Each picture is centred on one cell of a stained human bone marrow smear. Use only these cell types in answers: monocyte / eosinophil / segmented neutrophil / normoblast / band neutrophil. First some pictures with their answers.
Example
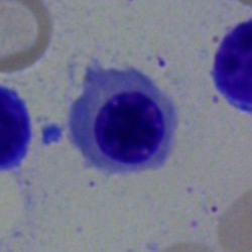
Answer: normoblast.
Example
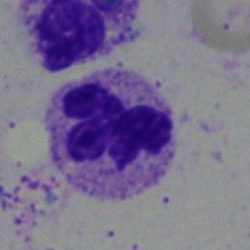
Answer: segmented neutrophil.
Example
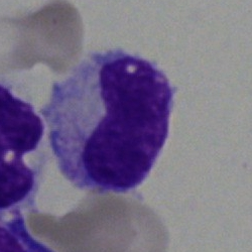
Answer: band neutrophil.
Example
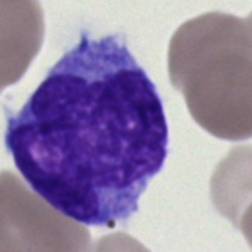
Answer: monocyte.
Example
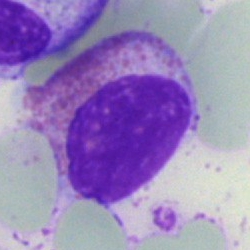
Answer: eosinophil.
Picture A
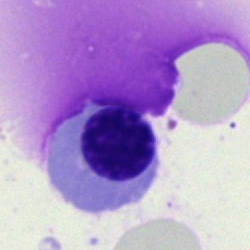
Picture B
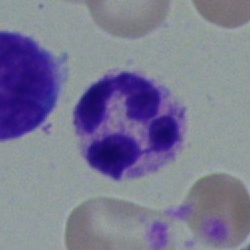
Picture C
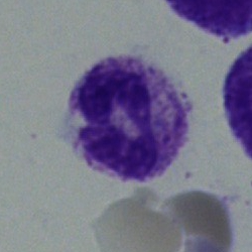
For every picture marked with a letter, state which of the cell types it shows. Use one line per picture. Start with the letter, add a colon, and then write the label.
A: normoblast.
B: segmented neutrophil.
C: segmented neutrophil.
